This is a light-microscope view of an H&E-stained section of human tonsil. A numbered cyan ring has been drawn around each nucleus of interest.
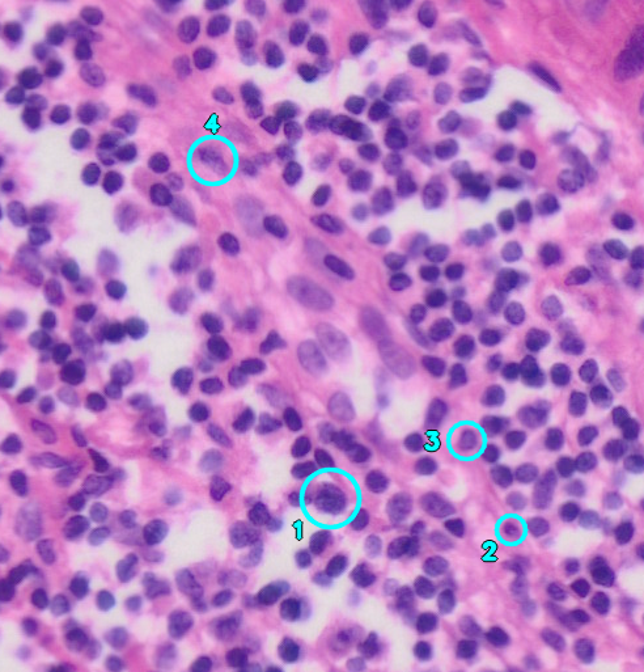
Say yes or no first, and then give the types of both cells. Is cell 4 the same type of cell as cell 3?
Yes, both cells 4 and 3 are endothelial cells.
